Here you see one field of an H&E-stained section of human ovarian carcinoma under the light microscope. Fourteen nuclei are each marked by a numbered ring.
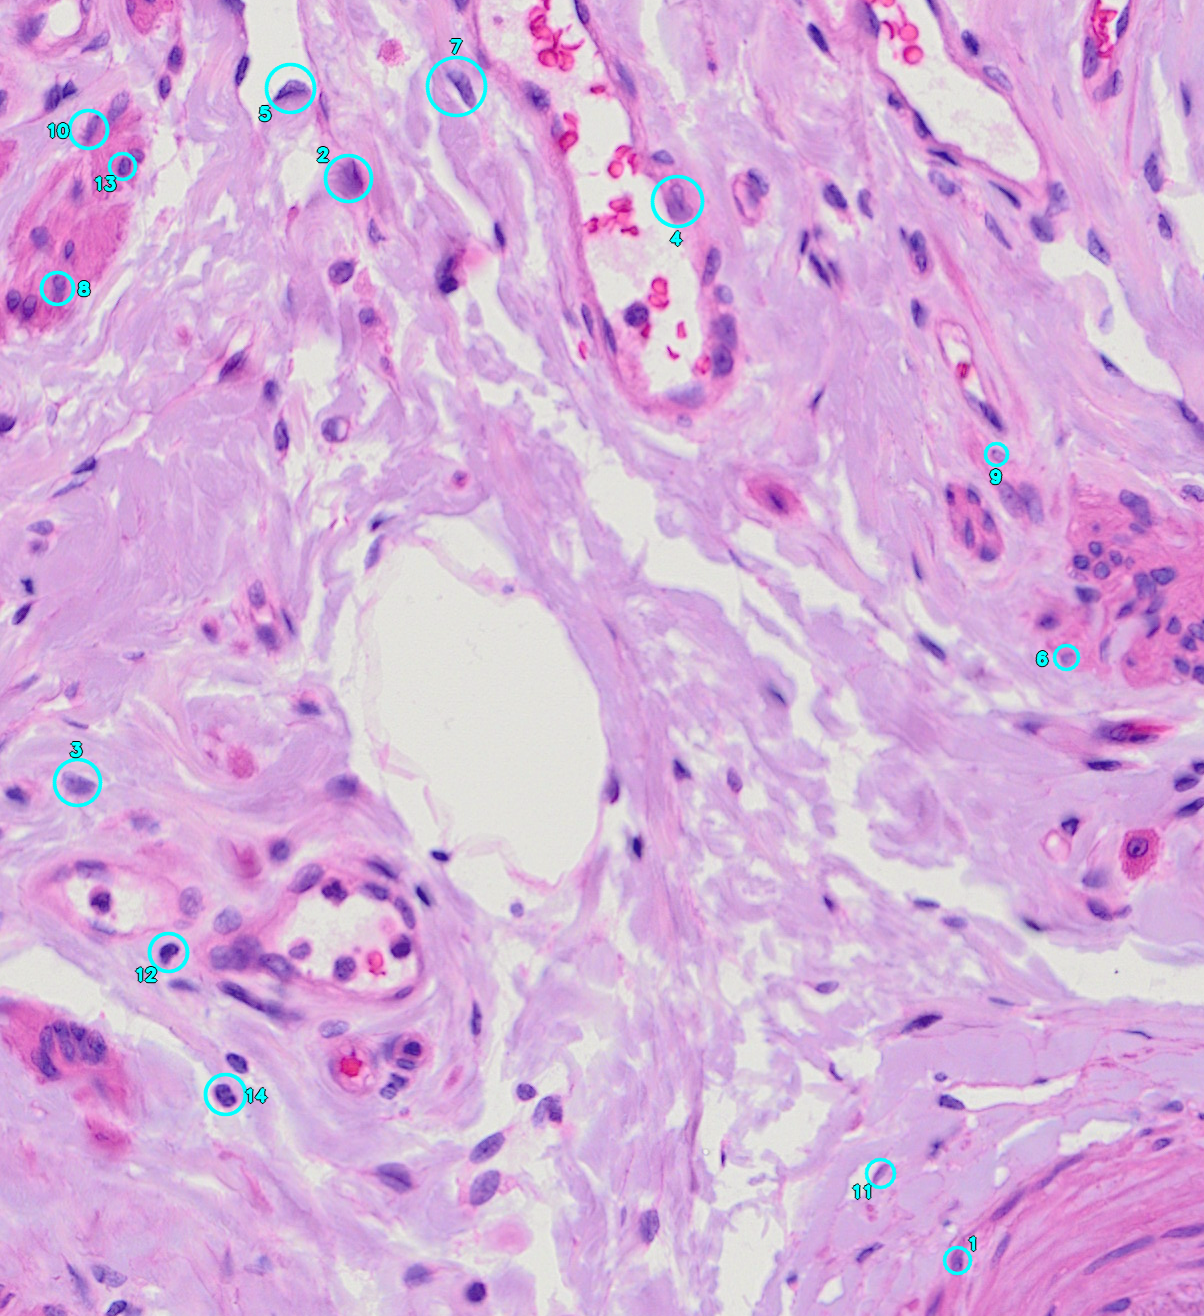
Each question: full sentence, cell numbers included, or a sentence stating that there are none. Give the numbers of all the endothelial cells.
Classified as endothelial cells are the cells numbered 2, 4 and 5.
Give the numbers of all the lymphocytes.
The numbers 12 and 14 in this section indicate lymphocytes.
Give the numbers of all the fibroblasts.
The cells bearing the numbers 3, 7 and 11 are fibroblasts.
